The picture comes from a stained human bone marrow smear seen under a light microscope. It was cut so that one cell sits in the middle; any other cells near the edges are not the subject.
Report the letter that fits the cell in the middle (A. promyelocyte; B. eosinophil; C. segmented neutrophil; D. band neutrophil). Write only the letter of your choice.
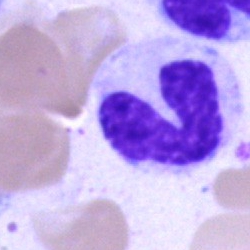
D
